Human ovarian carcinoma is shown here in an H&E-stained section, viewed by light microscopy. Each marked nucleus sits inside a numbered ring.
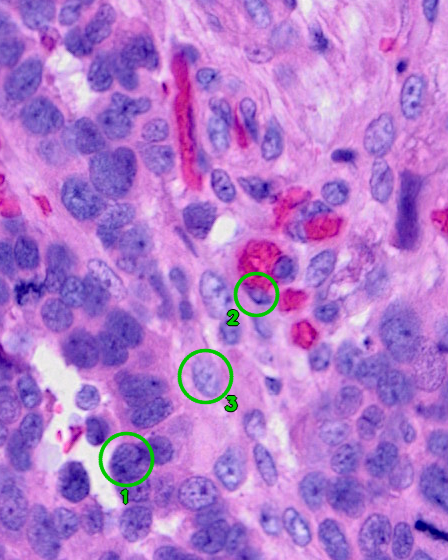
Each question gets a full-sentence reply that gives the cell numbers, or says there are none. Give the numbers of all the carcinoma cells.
Within the set of numbered cells, only number 1 is a carcinoma cell.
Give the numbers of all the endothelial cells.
Cell 2 alone, of all the numbered cells, is an endothelial cell.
